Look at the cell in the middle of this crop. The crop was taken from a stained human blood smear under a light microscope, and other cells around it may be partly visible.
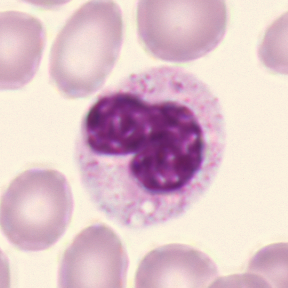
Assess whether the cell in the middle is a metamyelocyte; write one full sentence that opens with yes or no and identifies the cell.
No, the central cell is reported as a band neutrophil rather than as a metamyelocyte.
